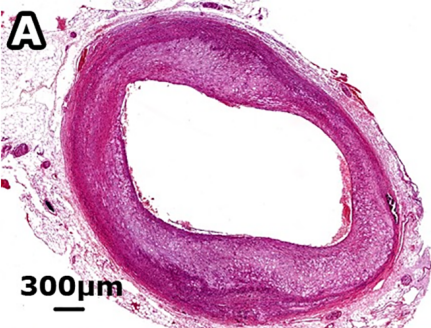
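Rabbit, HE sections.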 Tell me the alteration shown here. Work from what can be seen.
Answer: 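The vessel wall is greatly thickened all around the lumen. The thickened inner layer is pale and loosely textured compared with the outer wall. That points to this answer: atherosclerotic plaque.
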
